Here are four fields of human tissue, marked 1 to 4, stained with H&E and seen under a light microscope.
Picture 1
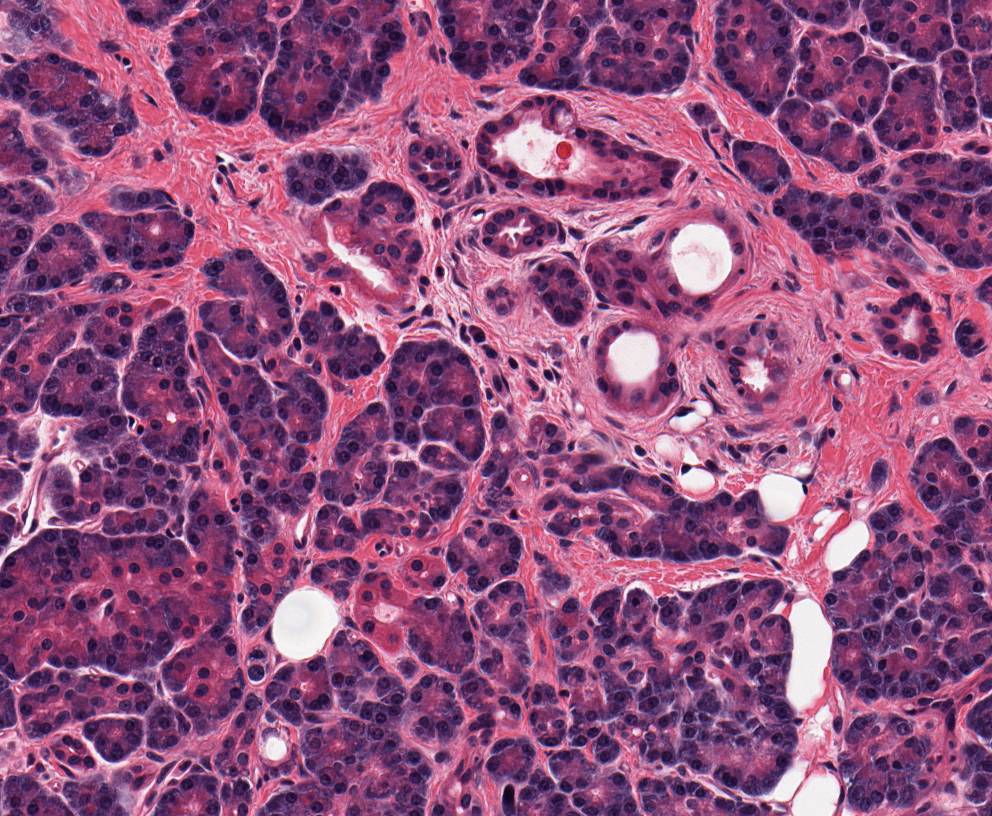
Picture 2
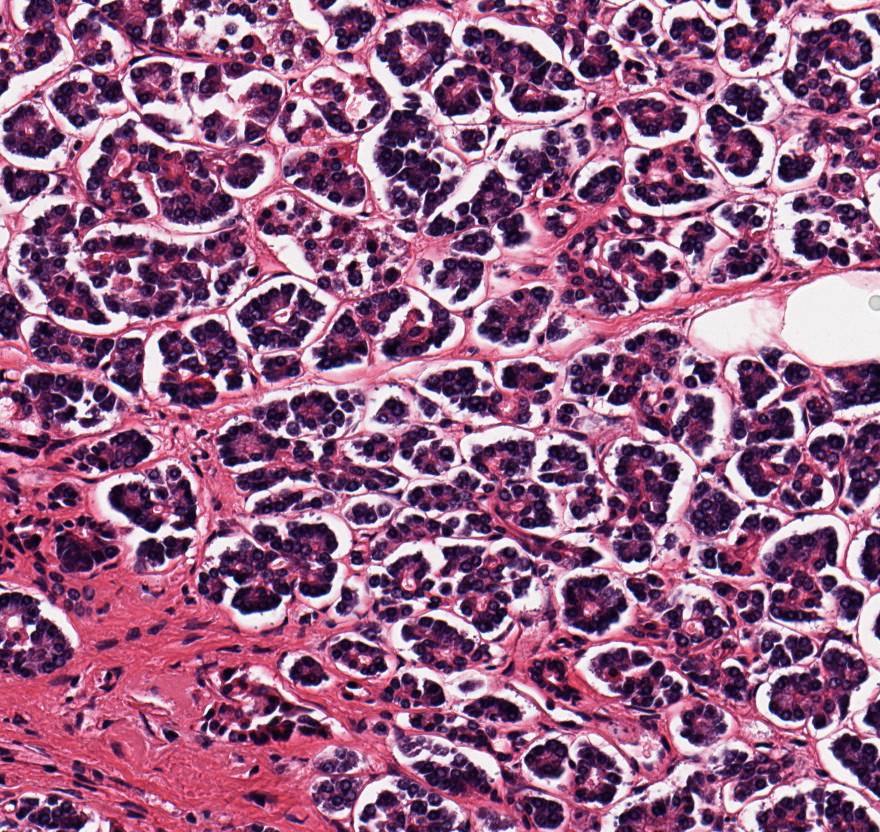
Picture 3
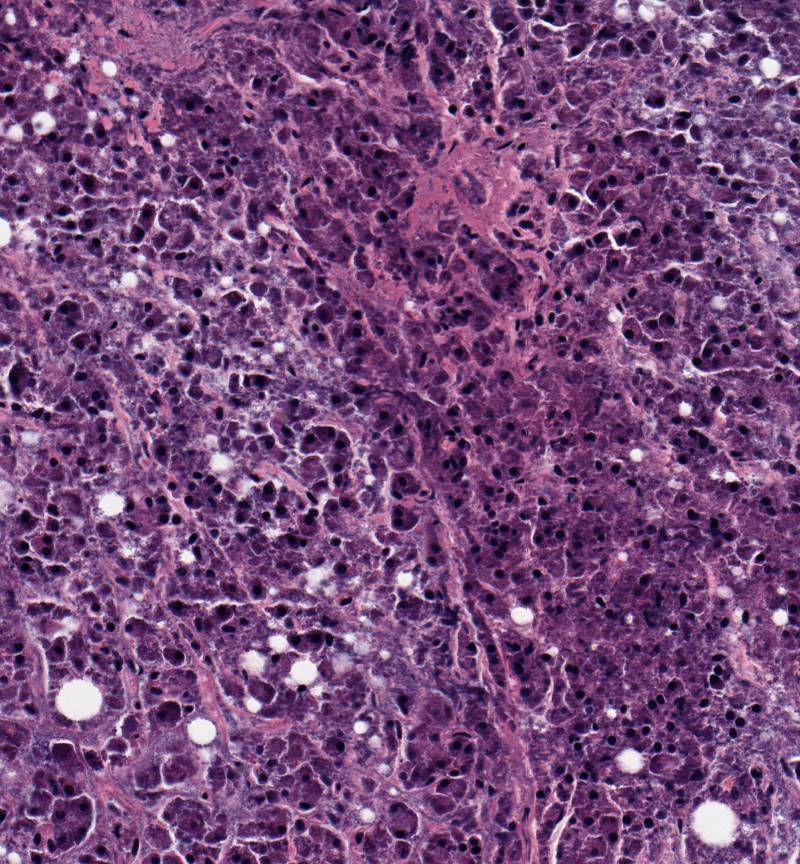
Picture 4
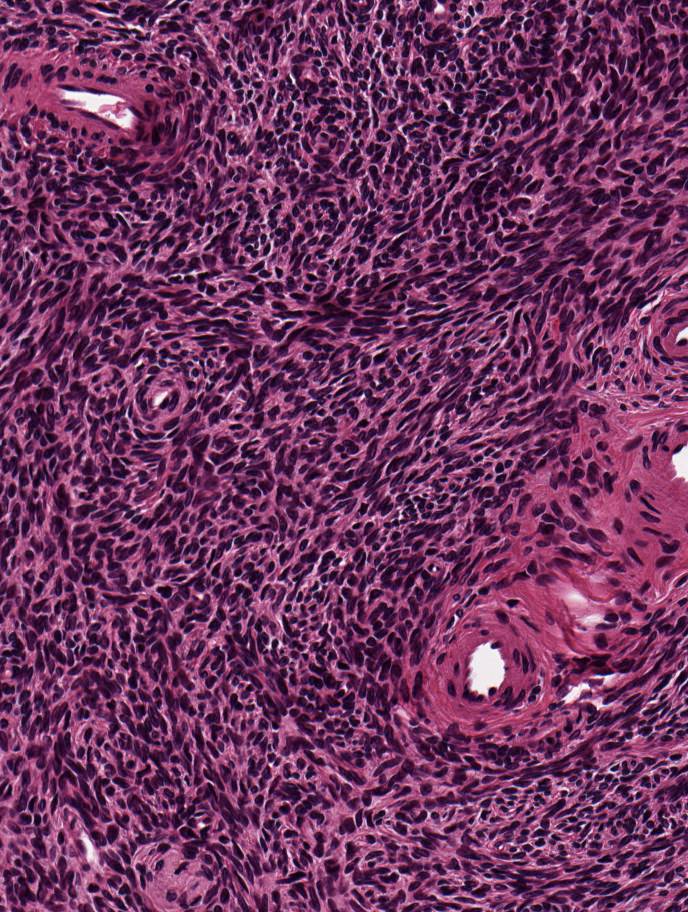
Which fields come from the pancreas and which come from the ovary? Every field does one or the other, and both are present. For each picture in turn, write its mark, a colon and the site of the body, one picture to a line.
1: pancreas
2: pancreas
3: pancreas
4: ovary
